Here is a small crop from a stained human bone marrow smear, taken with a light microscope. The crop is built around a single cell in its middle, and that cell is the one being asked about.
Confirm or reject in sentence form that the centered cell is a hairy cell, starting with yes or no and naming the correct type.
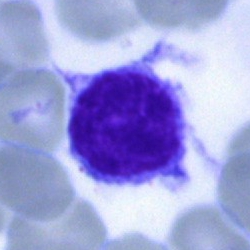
Yes, the middle cell in this crop is a hairy cell.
